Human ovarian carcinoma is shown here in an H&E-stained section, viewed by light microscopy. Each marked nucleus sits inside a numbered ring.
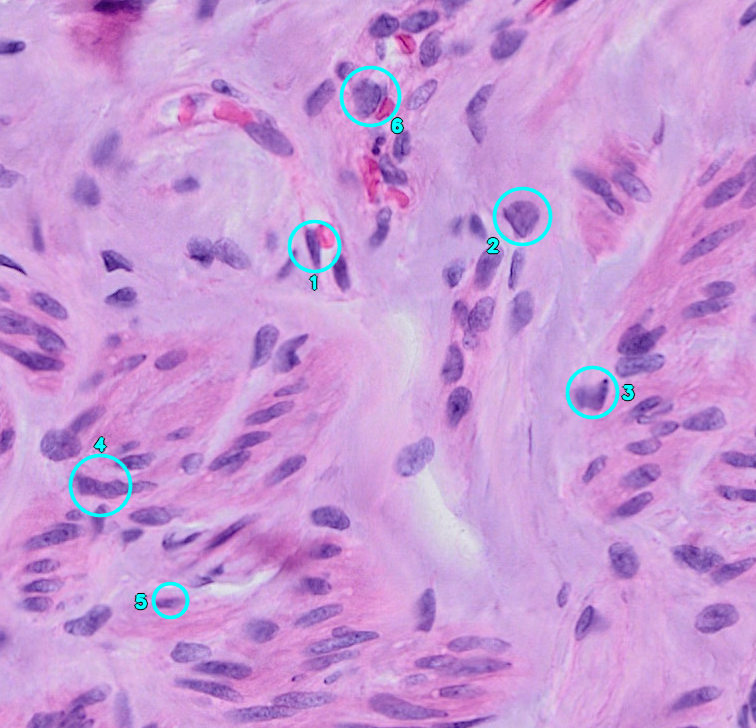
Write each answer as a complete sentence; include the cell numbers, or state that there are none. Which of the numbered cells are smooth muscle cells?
The cells which carry the numbers 4 and 5 are smooth muscle cells.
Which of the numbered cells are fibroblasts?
Cells 2 and 3 are fibroblasts by cell type.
